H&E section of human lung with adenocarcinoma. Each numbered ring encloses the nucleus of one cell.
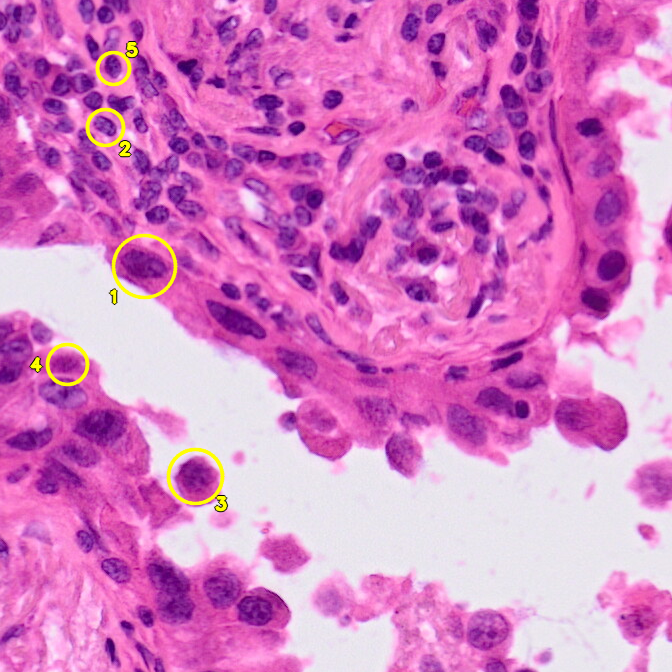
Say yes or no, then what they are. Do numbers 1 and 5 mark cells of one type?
No, a lymphocyte is what cell 5 is, while cell 1 is a carcinoma cell.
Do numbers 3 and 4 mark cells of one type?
Yes, the pair of cells 3 and 4 are both carcinoma cells.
